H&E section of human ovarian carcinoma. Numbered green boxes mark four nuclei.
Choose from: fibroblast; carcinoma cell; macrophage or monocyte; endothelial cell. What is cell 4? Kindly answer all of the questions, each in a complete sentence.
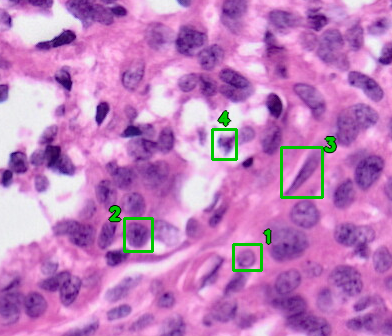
In the marked set, the cell given number 4 is a carcinoma cell.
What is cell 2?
The nucleus with number 2 is that of a carcinoma cell.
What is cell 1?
Nucleus 1 in this section belongs to a macrophage or monocyte.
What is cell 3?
Cell 3, as marked in the section, is an endothelial cell.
